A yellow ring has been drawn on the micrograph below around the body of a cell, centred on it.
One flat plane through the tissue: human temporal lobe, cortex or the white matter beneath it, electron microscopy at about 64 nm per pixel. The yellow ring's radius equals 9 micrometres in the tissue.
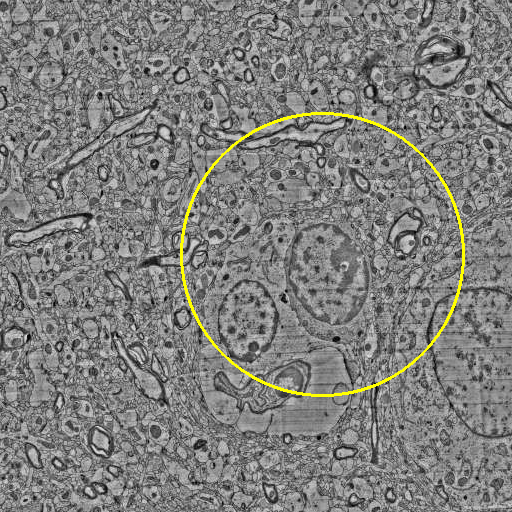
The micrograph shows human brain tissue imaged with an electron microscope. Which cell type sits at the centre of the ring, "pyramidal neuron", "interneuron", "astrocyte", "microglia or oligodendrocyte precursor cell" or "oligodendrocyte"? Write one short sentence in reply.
The cell sitting at the centre of the ring is an oligodendrocyte.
